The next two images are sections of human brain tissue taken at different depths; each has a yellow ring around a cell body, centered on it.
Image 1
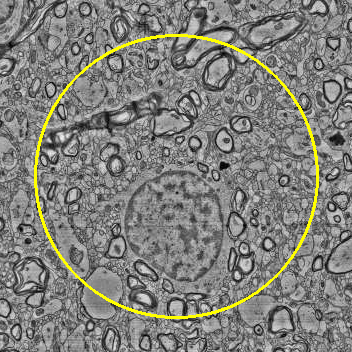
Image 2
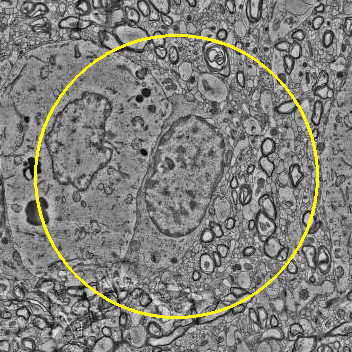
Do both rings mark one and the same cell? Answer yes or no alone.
no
